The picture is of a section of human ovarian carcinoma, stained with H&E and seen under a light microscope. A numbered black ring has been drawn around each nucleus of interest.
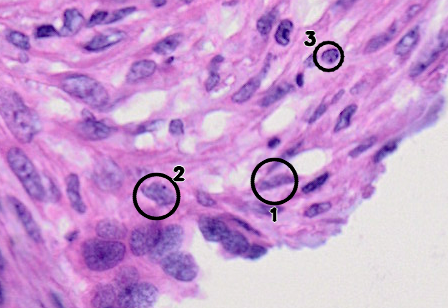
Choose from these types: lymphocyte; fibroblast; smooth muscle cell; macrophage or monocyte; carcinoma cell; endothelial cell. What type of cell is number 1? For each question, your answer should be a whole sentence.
The cell referenced by the number 1 is a fibroblast in this field.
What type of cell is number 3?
Cell 3 of the marked set is a lymphocyte.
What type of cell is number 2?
Among the marked cells, number 2 is a macrophage or monocyte.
